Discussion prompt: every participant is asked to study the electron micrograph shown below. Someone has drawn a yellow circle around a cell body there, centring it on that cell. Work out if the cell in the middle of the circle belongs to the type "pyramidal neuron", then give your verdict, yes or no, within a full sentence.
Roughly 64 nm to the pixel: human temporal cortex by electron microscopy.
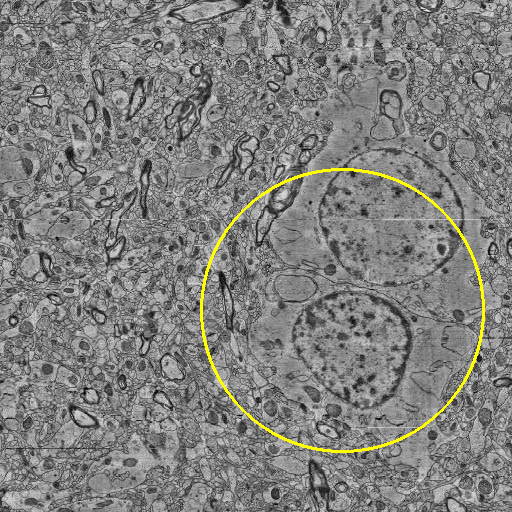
No, my verdict is that the cell in the circle's centre is of a different type.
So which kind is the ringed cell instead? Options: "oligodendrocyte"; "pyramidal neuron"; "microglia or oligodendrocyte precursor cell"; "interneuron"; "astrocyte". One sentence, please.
What the ring is centred on is an astrocyte.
